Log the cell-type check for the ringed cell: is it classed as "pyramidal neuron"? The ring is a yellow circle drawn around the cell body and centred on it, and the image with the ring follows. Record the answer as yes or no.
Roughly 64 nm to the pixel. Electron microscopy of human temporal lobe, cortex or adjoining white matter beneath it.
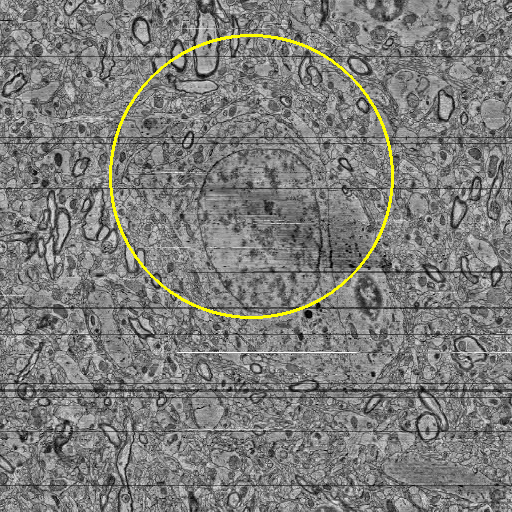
Yes, it is classed that way.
